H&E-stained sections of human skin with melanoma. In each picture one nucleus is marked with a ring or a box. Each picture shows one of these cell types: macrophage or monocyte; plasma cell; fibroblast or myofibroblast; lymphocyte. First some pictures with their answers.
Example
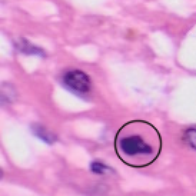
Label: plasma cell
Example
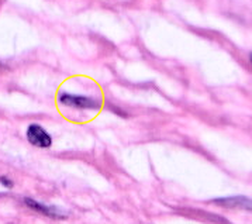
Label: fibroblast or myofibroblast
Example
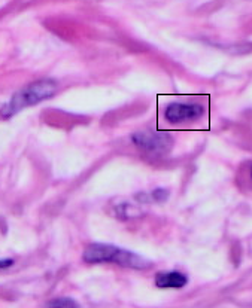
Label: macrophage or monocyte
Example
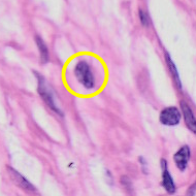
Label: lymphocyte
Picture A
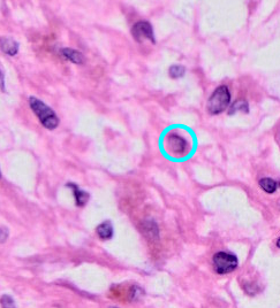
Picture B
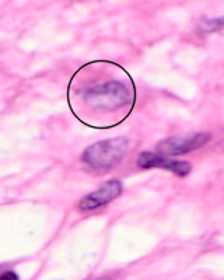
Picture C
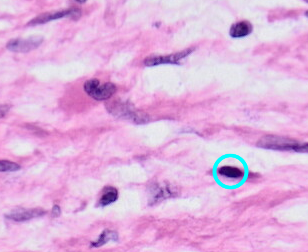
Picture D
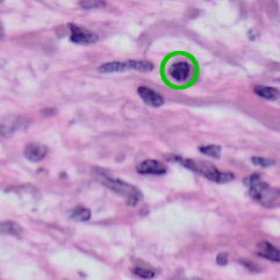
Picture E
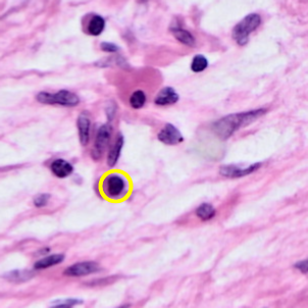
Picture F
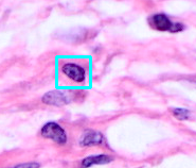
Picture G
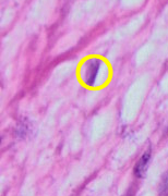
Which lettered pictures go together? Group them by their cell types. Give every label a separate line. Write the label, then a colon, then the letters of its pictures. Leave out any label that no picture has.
macrophage or monocyte: A
plasma cell: C, D, E, F
fibroblast or myofibroblast: B, G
